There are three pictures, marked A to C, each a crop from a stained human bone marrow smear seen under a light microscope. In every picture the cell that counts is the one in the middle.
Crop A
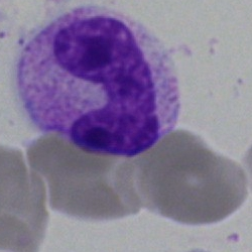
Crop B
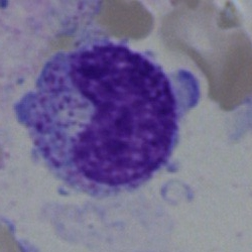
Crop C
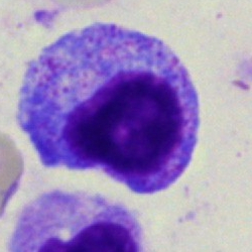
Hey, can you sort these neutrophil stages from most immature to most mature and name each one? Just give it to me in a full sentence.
The cells in order of increasing maturity are crop C (a promyelocyte), crop B (a metamyelocyte) and crop A (a band neutrophil).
